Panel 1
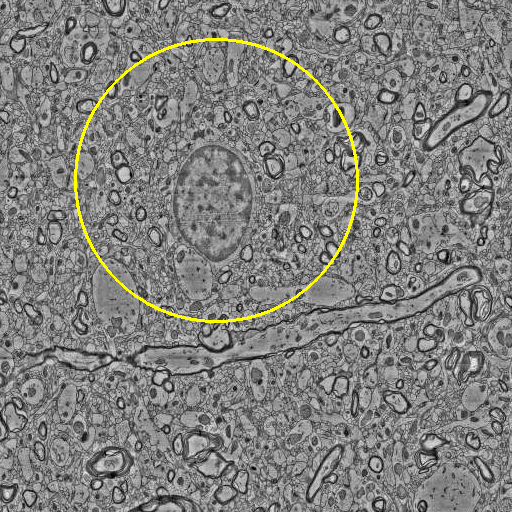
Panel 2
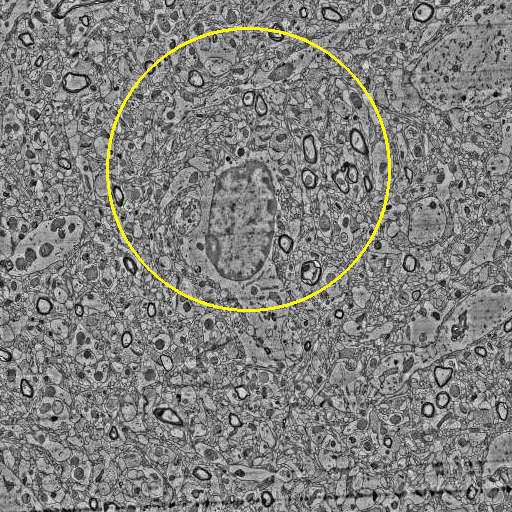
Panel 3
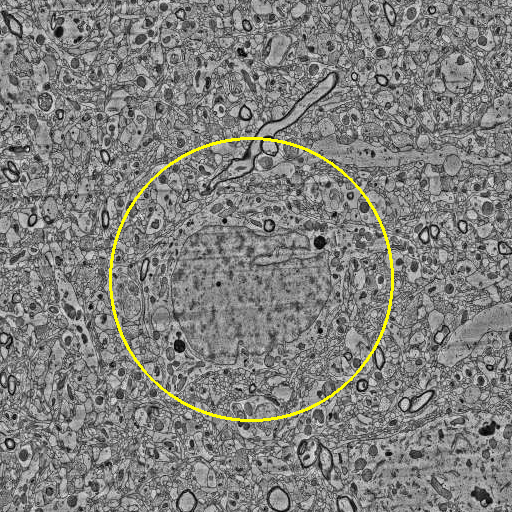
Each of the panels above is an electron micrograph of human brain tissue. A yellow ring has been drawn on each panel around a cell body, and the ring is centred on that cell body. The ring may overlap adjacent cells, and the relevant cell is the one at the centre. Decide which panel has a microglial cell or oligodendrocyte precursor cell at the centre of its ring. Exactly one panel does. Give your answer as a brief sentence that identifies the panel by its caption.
Panel 2 is the one with it at the centre of the ring.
